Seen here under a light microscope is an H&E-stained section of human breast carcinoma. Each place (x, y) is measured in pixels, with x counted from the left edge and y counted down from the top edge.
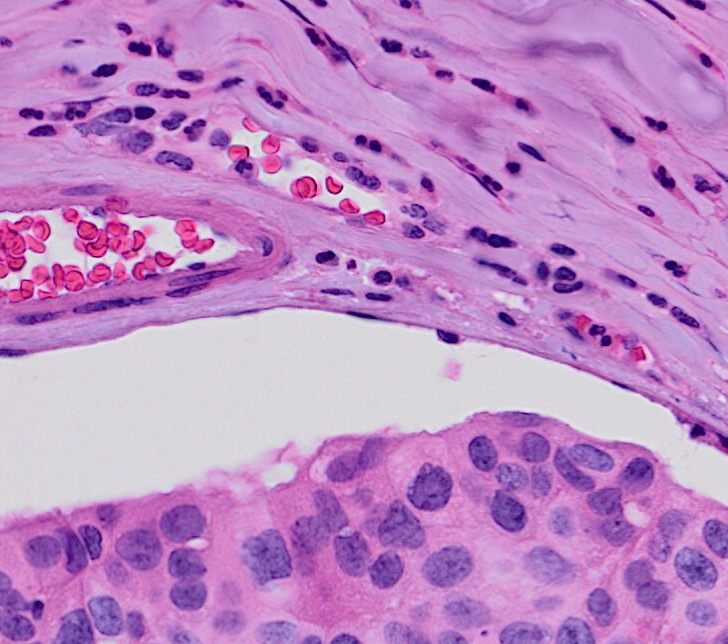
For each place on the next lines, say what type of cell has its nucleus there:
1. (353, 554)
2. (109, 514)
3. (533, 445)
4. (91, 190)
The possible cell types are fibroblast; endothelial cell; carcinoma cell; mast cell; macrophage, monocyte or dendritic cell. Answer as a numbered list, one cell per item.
1. carcinoma cell
2. carcinoma cell
3. carcinoma cell
4. endothelial cell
